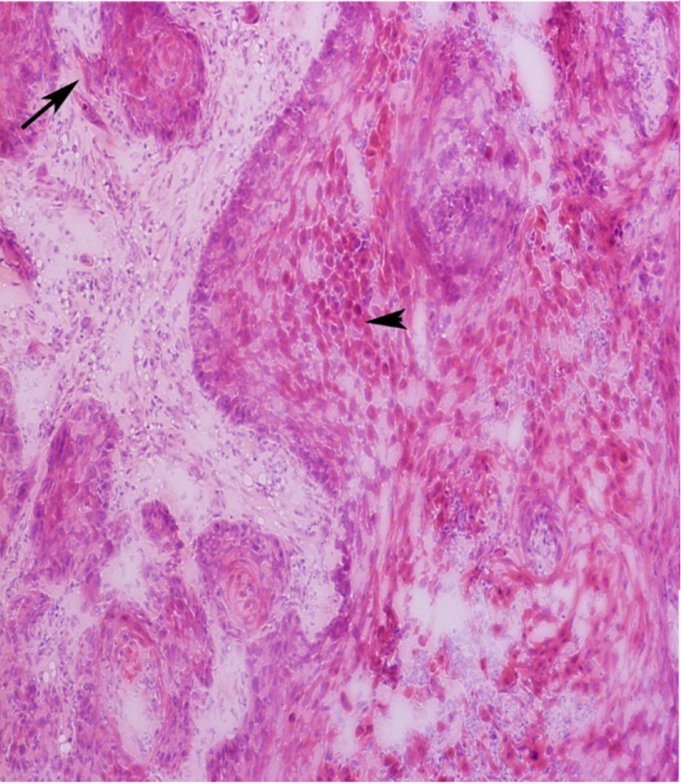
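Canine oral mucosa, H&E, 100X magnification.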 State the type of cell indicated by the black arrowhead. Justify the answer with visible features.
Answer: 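The arrowhead lies among large polygonal cells with abundant bright pink cytoplasm. These cells lie inside an irregular nest of epithelial cells within stroma. That points to this answer: keratinizing squamous cells.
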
